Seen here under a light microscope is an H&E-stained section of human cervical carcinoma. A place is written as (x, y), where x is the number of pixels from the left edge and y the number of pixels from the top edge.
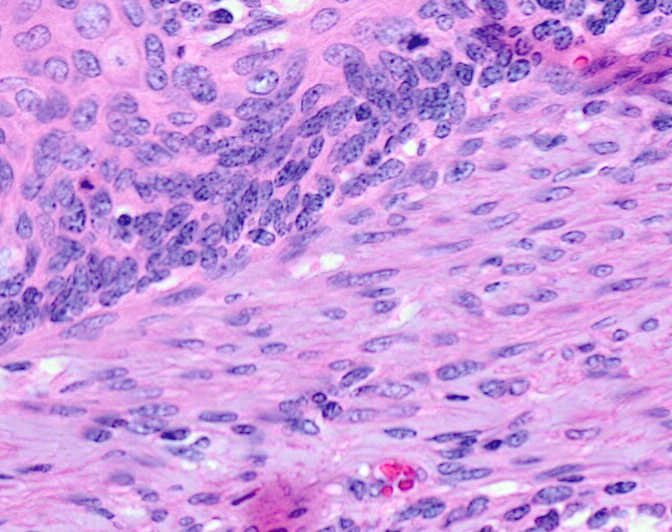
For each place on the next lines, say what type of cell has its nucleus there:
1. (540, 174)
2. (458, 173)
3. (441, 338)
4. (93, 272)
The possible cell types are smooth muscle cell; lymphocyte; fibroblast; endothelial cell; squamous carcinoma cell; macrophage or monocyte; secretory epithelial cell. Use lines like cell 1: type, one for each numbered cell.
cell 1: smooth muscle cell
cell 2: smooth muscle cell
cell 3: smooth muscle cell
cell 4: squamous carcinoma cell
